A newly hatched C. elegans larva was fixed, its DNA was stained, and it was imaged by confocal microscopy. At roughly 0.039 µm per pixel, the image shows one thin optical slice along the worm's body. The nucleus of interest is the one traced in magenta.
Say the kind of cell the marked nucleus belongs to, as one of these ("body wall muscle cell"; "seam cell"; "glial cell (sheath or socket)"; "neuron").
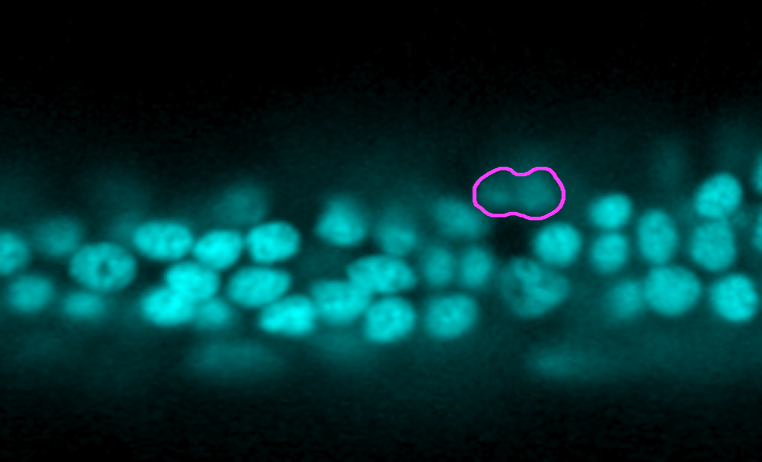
body wall muscle cell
